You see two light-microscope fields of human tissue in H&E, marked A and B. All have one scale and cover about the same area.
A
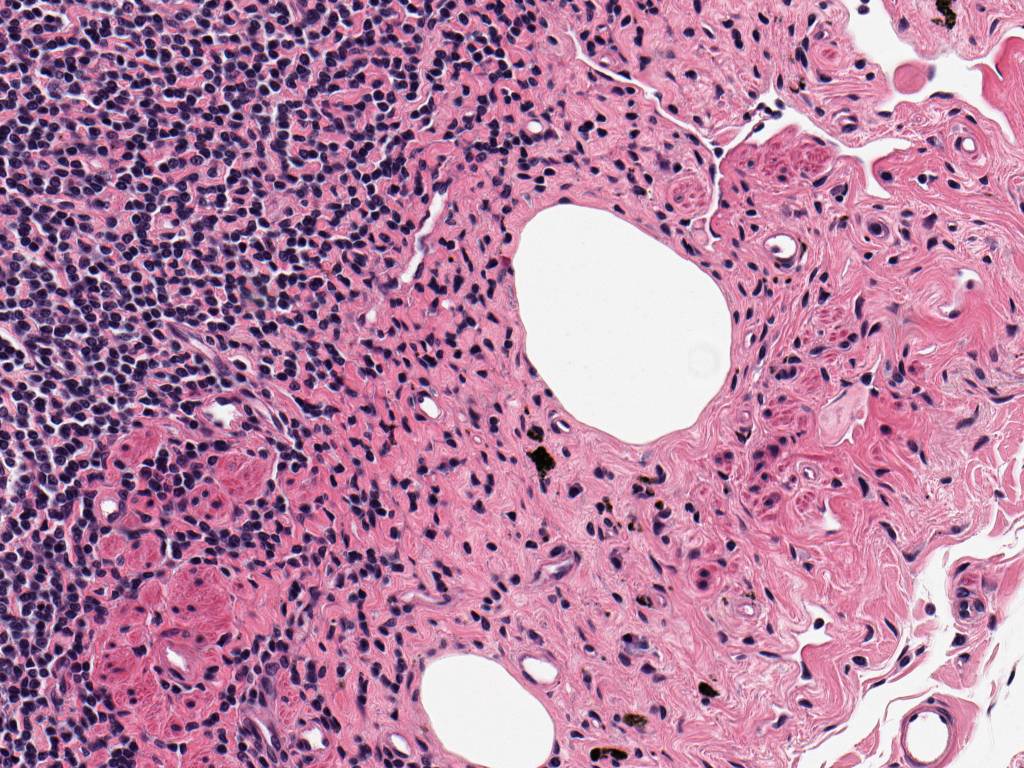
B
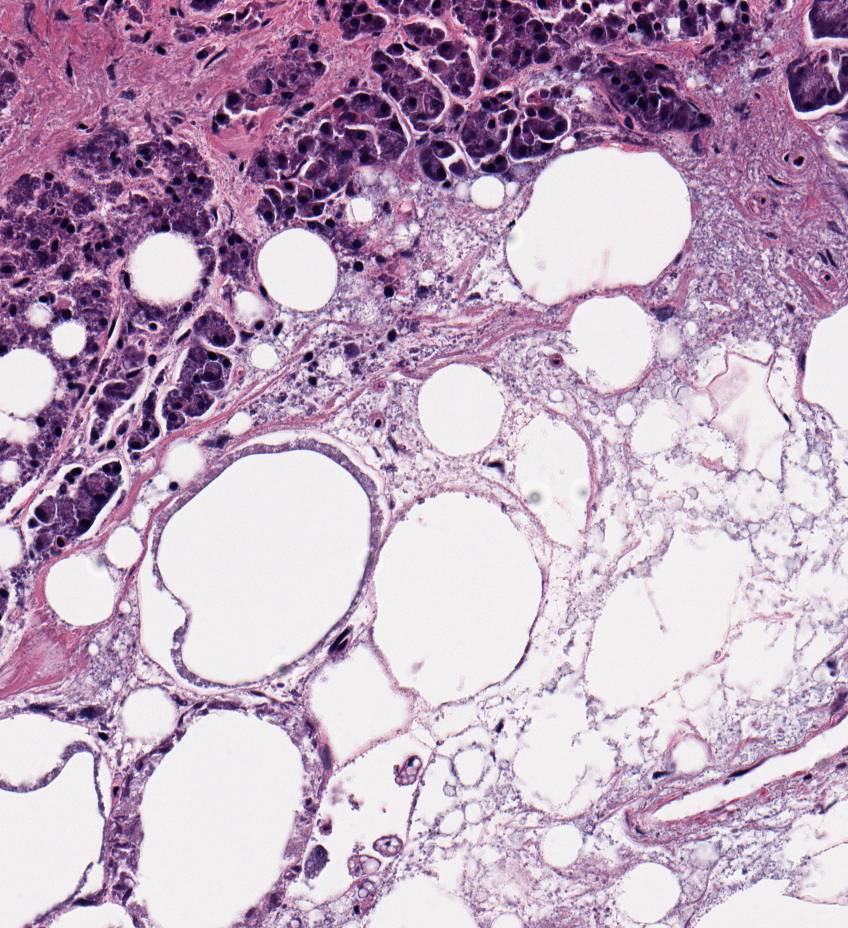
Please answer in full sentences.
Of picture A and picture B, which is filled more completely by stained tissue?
Unstained space takes up less of picture A than of picture B.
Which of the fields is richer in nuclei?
There are more nuclei in picture A.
